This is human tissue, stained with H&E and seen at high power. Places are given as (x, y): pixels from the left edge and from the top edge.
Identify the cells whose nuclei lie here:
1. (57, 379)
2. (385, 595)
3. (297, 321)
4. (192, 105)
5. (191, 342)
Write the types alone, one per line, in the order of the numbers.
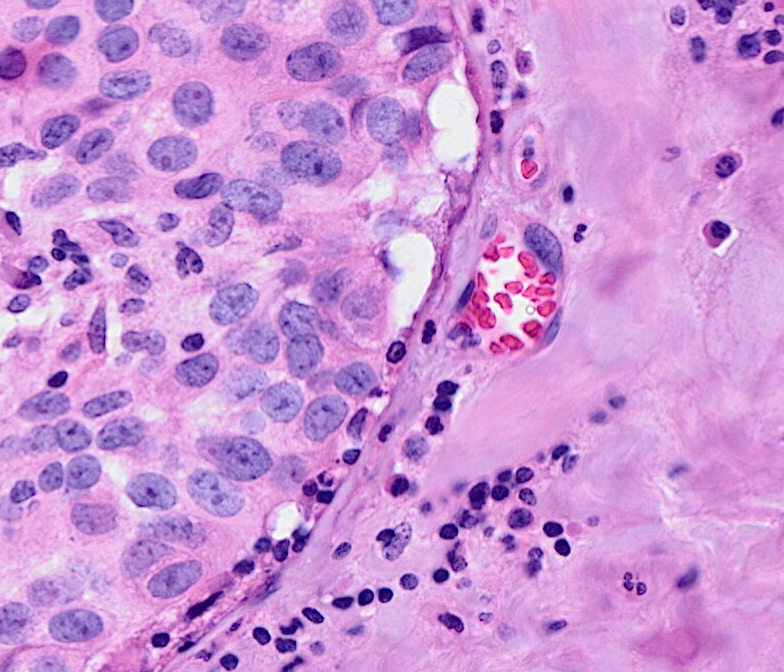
lymphocyte
lymphocyte
carcinoma cell
carcinoma cell
lymphocyte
